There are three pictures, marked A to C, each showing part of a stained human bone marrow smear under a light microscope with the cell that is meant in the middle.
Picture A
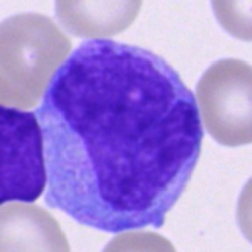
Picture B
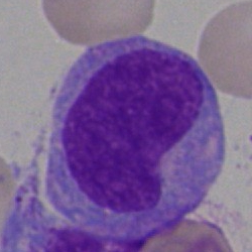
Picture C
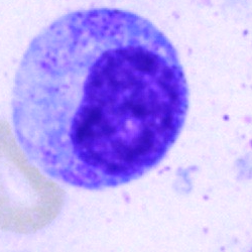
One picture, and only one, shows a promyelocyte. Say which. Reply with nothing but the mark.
C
